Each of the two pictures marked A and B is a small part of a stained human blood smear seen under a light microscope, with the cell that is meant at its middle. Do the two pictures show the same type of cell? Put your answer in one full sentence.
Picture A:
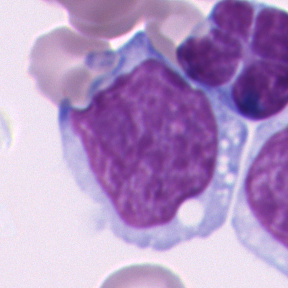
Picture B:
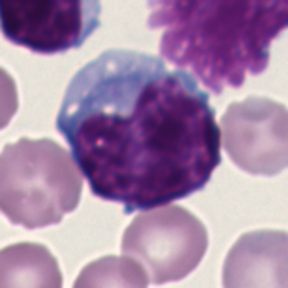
No. Picture A shows a myeloblast, but picture B shows a monocyte.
